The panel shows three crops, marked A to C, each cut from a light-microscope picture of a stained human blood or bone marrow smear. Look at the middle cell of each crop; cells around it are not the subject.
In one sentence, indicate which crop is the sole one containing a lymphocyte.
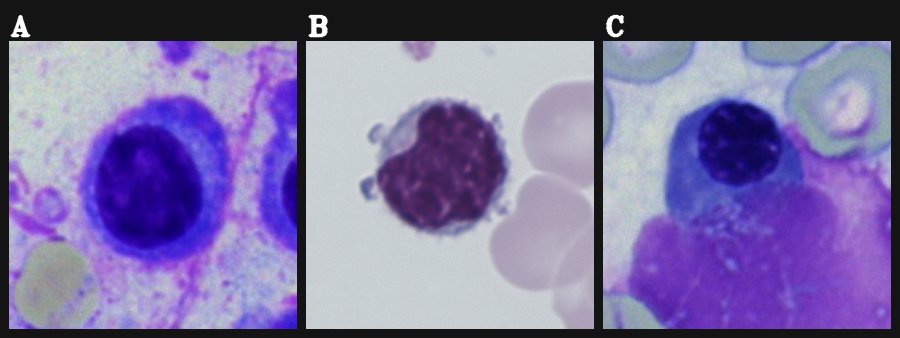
Of the crops given, a lymphocyte is found in crop B.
